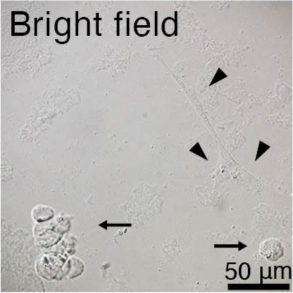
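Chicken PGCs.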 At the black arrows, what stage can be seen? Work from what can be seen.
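Undifferentiated. The cells at the arrows are round and refractile. They lie in a small cluster at lower left and singly at lower right. They have no long processes.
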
